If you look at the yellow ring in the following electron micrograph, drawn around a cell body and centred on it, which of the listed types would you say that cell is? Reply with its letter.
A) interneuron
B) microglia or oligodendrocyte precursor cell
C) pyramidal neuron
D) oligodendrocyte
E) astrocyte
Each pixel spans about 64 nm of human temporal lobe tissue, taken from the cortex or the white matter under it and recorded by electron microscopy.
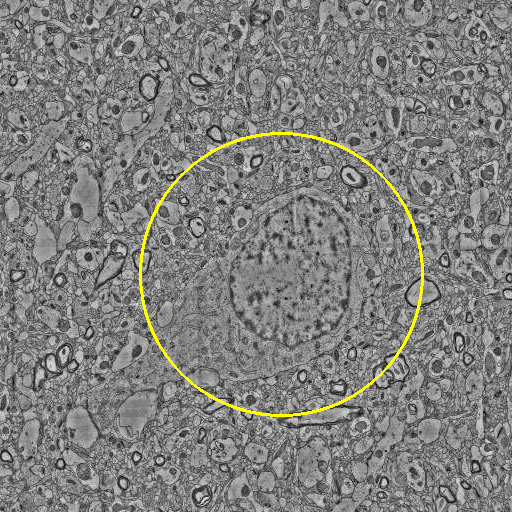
A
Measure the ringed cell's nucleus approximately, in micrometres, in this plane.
In this plane the nucleus spans approximately 10 by 8 micrometers.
